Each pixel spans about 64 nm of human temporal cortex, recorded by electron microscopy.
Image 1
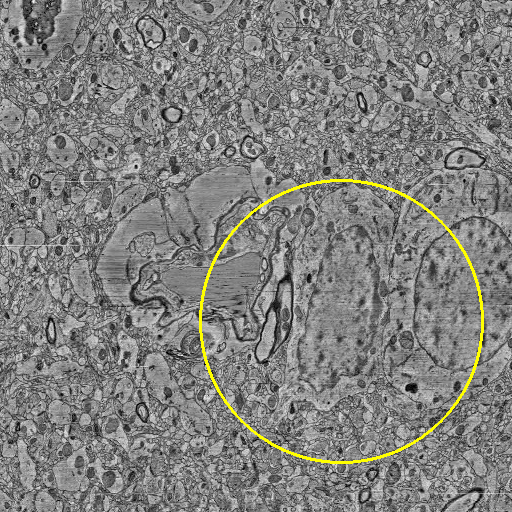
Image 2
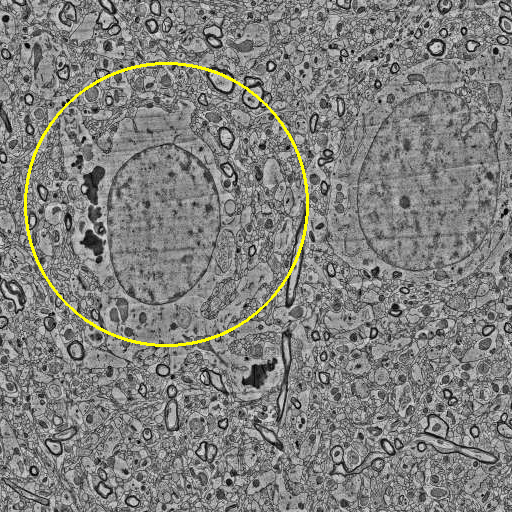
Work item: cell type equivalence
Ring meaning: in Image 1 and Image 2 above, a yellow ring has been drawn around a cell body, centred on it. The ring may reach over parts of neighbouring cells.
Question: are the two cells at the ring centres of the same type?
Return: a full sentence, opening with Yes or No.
No, the two centred cells are of two types.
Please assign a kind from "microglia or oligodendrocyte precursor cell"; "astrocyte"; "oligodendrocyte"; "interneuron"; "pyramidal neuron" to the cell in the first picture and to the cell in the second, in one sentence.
In the first picture we have an interneuron, and in the second, an astrocyte.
